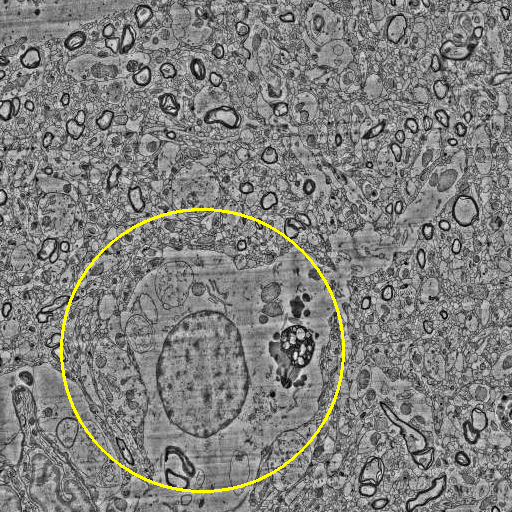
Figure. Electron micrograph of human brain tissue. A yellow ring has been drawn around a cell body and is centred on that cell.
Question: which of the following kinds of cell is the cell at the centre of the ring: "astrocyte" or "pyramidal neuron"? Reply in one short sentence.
The cell at the centre of the ring is an astrocyte.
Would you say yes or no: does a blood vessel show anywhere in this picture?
Yes.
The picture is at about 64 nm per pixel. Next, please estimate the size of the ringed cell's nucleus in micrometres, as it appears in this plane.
In this plane, the nucleus is roughly 8 by 6 micrometres.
